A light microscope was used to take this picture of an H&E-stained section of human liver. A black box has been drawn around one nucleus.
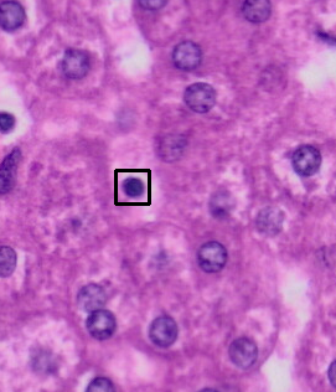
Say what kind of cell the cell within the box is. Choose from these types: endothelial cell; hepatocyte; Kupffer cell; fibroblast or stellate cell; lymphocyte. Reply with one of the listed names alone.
lymphocyte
